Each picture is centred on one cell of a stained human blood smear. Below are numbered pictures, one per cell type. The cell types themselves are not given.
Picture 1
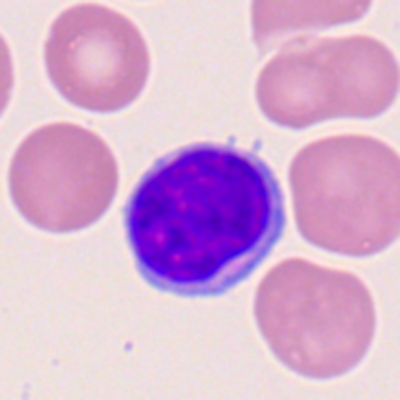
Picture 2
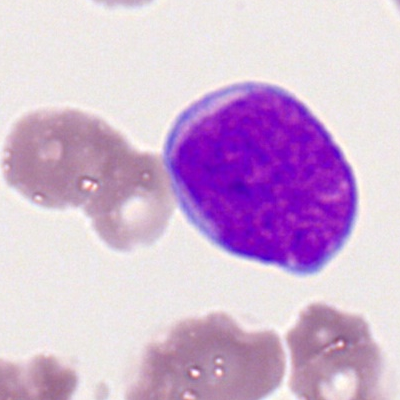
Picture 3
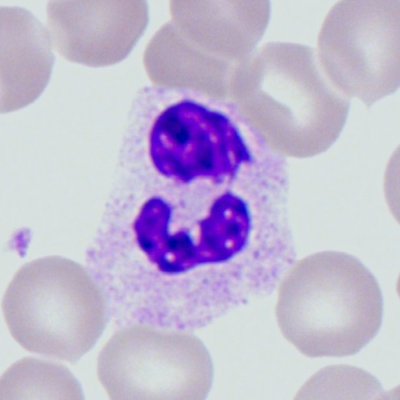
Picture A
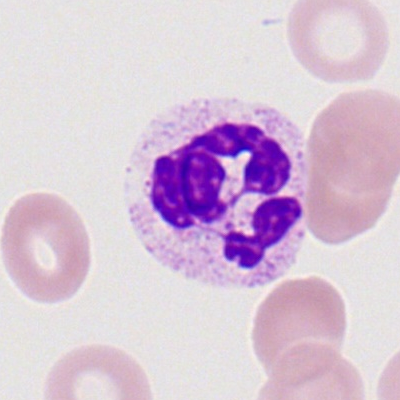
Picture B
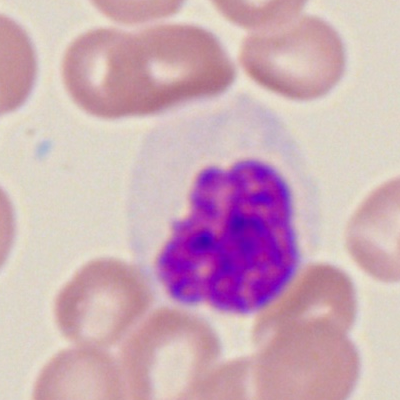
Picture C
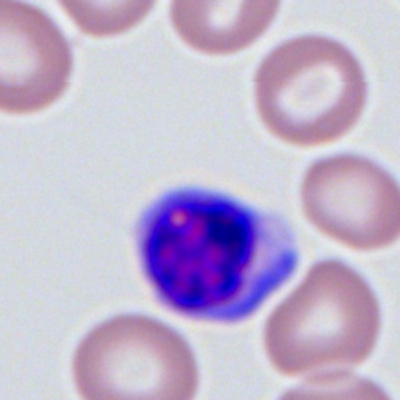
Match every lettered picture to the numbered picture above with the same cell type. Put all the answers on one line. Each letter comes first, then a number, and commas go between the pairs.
A 3, B 3, C 1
